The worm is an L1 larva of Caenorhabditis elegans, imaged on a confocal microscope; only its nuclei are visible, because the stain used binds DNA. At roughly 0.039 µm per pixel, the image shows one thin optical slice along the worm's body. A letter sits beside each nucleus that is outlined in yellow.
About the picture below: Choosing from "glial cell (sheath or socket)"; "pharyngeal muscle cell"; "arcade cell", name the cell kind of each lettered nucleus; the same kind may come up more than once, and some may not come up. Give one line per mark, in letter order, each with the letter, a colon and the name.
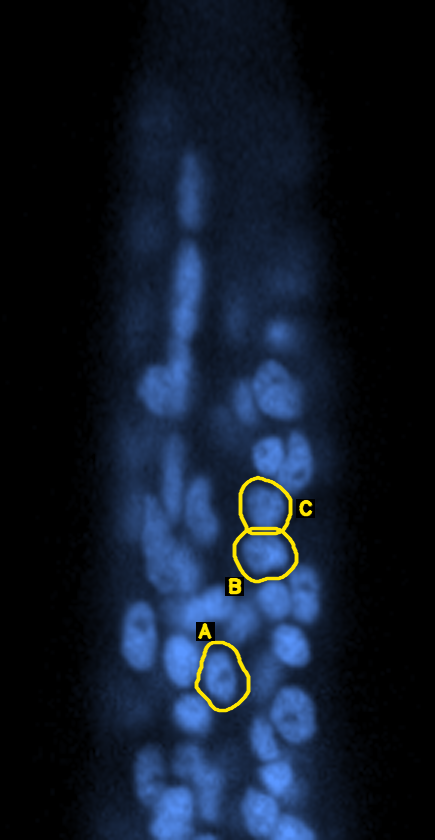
A: pharyngeal muscle cell
B: arcade cell
C: glial cell (sheath or socket)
